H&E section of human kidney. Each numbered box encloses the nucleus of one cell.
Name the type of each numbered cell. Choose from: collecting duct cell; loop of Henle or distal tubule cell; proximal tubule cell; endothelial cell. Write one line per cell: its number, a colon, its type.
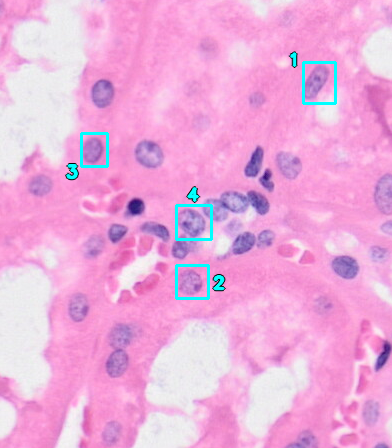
1: proximal tubule cell
2: proximal tubule cell
3: proximal tubule cell
4: collecting duct cell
